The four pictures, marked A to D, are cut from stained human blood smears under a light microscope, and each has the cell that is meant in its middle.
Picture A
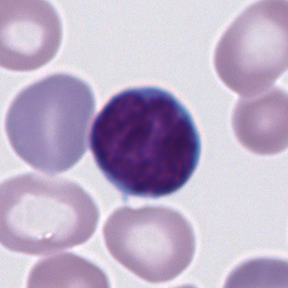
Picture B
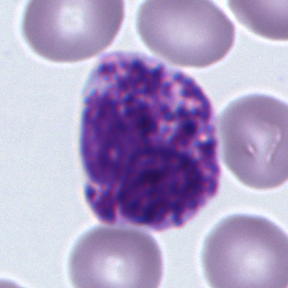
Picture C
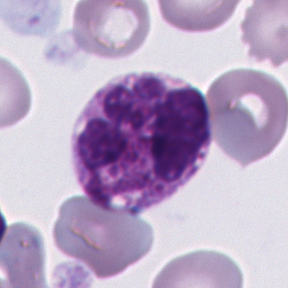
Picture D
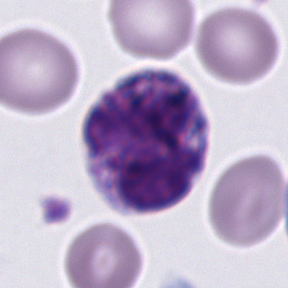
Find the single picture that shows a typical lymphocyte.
A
